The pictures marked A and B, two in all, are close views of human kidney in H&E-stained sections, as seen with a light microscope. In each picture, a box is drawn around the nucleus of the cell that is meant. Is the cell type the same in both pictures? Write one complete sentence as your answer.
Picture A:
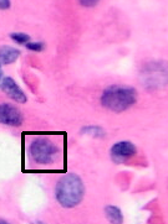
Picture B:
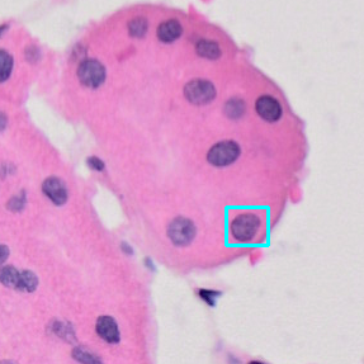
No, picture A shows a “loop of Henle or distal tubule cell” and picture B shows a proximal tubule cell.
